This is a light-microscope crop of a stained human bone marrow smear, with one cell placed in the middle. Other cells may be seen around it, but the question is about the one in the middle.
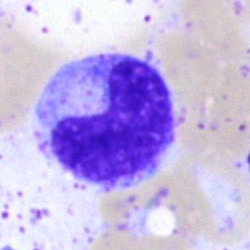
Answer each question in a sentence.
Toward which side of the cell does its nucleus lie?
The nucleus lies toward the lower right of the cell.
